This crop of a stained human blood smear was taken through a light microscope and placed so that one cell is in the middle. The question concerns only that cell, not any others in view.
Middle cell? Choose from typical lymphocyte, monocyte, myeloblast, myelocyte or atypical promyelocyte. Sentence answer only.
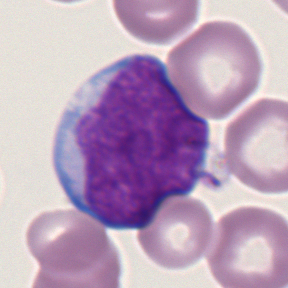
To answer, the cell in the center of the crop is a myeloblast.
